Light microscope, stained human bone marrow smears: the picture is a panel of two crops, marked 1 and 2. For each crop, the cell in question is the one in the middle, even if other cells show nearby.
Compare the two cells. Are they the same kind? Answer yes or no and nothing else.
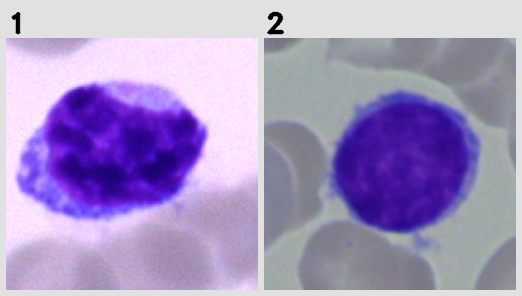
yes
